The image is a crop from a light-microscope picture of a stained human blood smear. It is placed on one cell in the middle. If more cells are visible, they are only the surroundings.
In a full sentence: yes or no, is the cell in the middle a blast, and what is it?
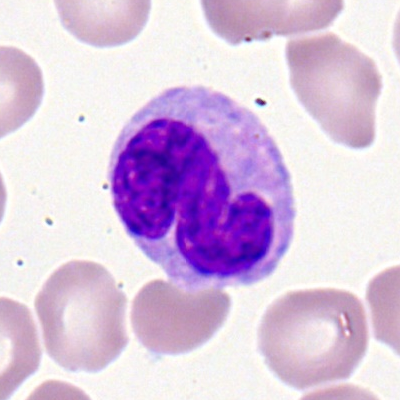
No, the central cell is counted as a monocyte instead of a blast.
